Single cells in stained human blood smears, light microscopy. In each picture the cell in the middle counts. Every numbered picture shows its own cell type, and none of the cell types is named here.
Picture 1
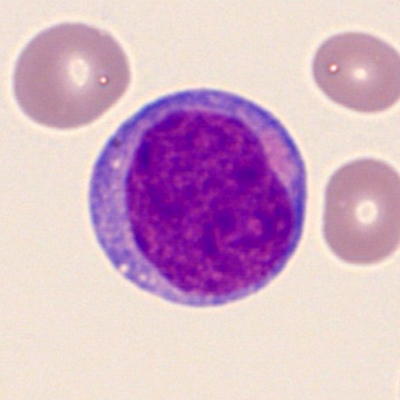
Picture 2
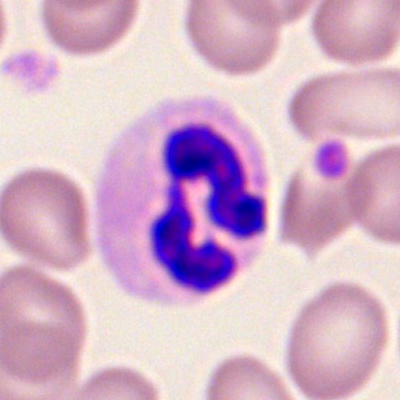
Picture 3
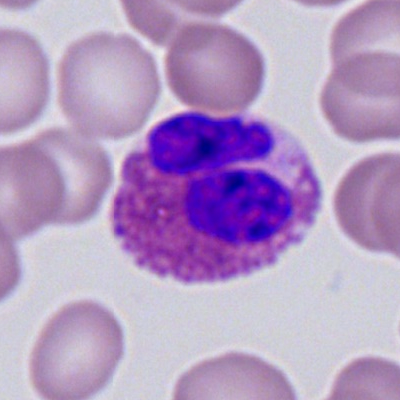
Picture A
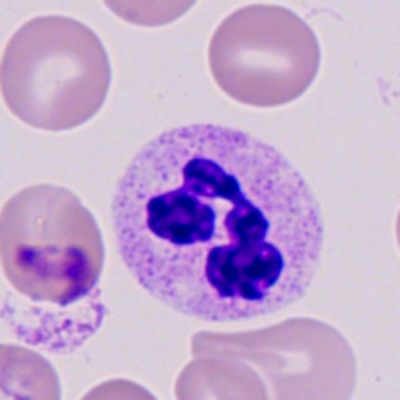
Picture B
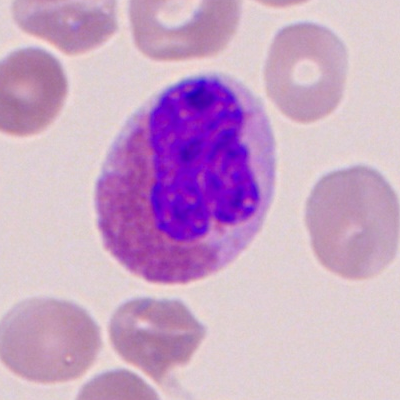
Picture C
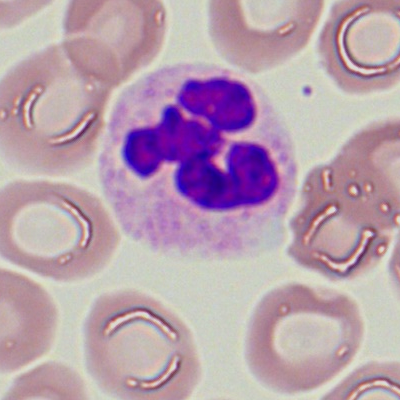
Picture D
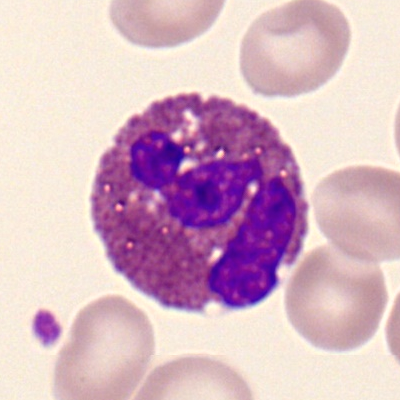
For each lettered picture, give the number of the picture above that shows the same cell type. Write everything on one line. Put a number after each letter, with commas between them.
A 2, B 3, C 2, D 3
